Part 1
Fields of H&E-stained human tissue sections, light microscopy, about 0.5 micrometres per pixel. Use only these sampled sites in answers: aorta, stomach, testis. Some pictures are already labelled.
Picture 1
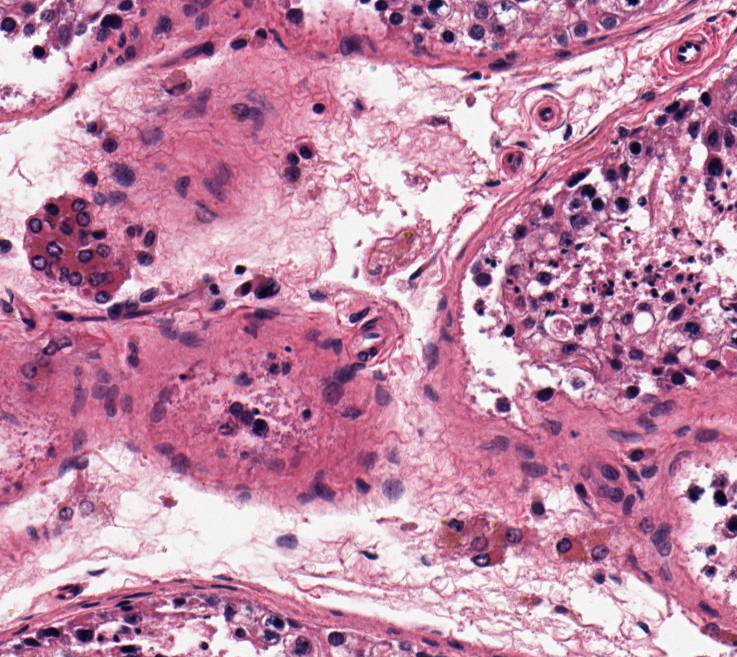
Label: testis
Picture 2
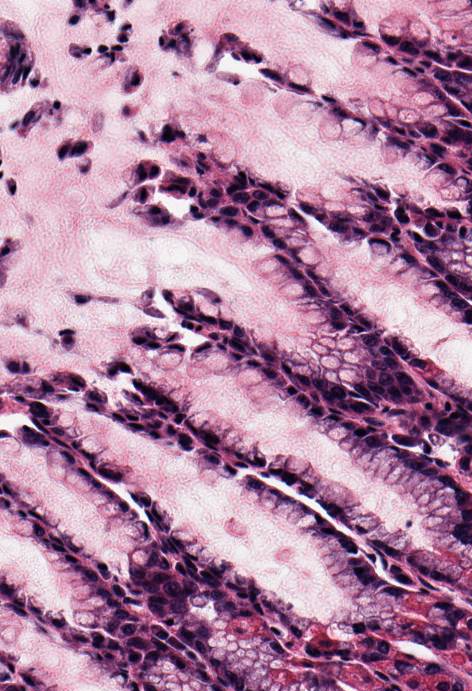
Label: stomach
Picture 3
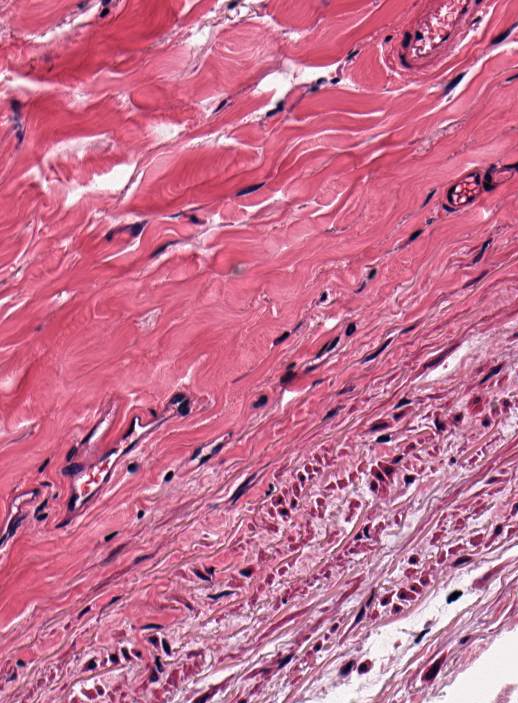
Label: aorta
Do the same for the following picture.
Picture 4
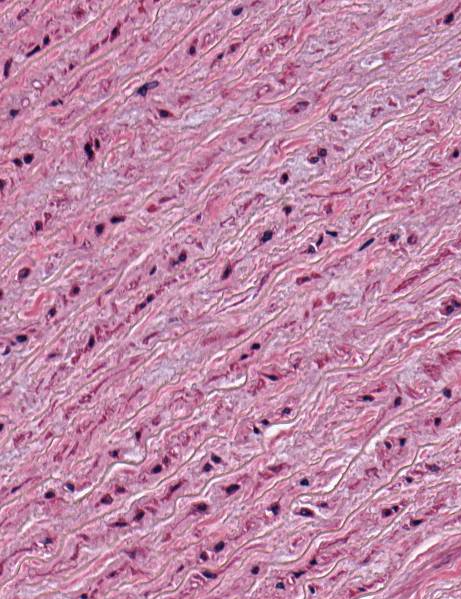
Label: aorta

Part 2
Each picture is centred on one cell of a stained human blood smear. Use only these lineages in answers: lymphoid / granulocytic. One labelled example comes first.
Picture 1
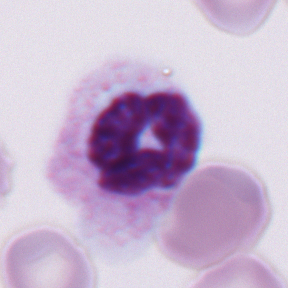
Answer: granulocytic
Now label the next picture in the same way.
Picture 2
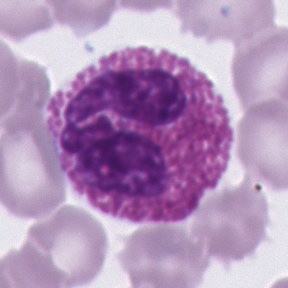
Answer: granulocytic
